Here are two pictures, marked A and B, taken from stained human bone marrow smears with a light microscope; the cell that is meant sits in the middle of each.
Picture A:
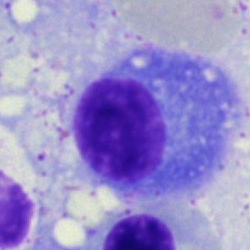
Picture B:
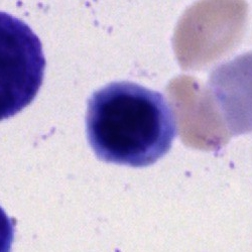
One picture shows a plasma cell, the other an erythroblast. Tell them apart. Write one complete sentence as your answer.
Picture A is of a plasma cell, and picture B is of an erythroblast.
